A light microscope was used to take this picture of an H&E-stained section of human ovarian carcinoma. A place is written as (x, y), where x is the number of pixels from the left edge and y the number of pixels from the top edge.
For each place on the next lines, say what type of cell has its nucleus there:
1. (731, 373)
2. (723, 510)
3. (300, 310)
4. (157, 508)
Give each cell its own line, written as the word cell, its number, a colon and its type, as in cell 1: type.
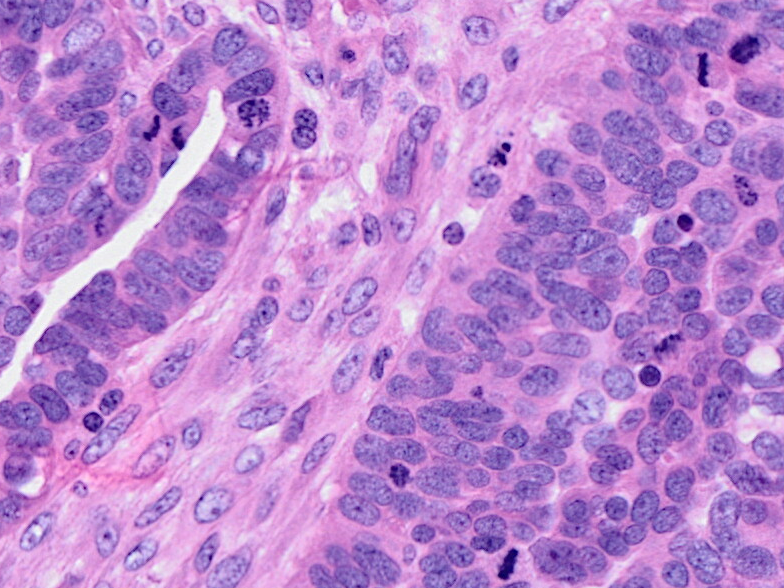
cell 1: carcinoma cell
cell 2: carcinoma cell
cell 3: fibroblast
cell 4: fibroblast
